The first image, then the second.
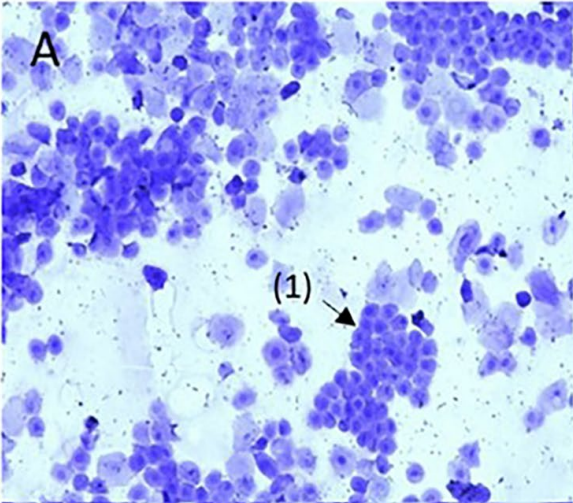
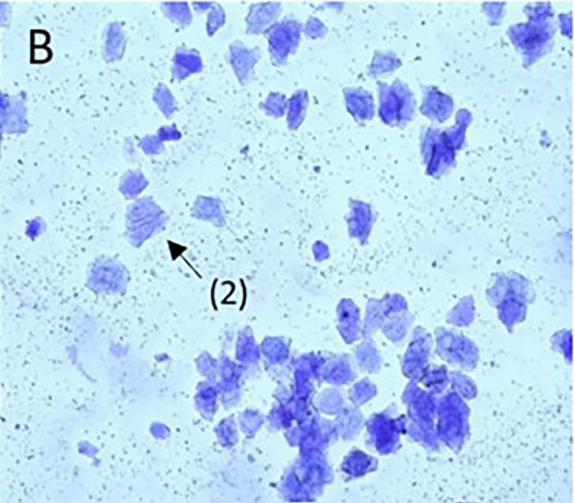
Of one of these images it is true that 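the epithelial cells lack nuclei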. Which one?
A: The second image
